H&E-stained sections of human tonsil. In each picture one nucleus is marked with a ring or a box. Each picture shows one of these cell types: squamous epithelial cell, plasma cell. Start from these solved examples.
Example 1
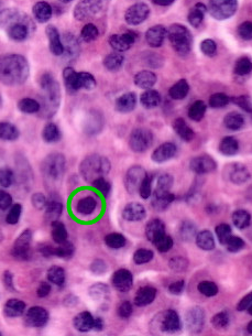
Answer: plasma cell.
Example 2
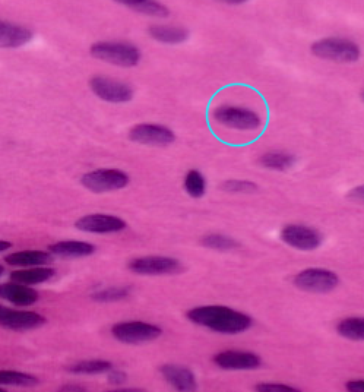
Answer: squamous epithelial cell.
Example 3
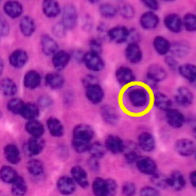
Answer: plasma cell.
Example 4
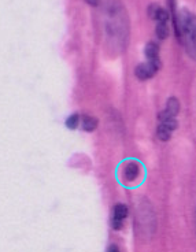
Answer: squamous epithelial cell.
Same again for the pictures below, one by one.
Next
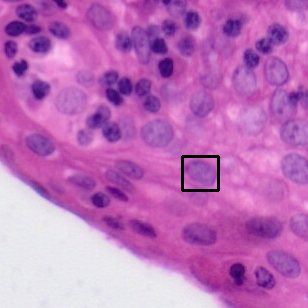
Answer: squamous epithelial cell.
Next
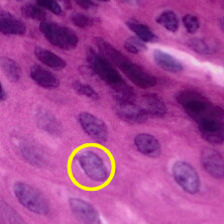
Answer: squamous epithelial cell.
